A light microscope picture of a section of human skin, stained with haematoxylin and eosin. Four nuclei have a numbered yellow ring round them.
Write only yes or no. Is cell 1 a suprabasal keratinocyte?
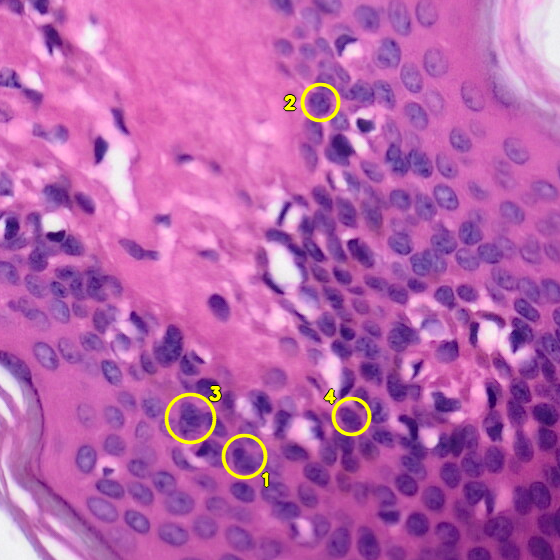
yes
